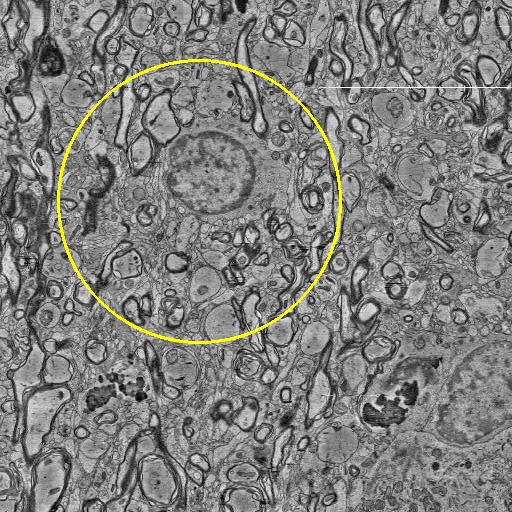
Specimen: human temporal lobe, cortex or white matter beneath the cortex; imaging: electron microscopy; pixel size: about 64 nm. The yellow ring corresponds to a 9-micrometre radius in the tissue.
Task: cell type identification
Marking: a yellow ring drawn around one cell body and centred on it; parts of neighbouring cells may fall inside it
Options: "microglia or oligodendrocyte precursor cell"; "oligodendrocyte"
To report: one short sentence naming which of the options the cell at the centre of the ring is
The cell at the centre of the ring is an oligodendrocyte.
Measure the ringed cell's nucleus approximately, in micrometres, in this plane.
Roughly 5 micrometers across, in this plane.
